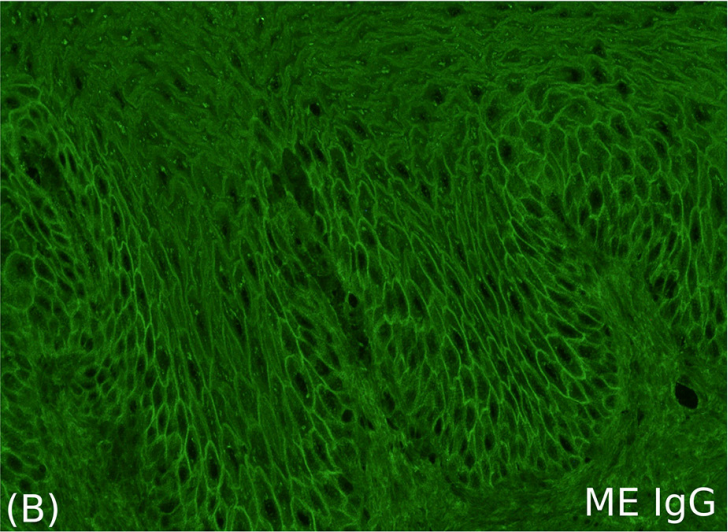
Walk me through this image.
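This is stratified squamous epithelium of esophagus with green fluorescence along the surfaces of the epithelial cells. Each cell is traced by a thin bright outline while its interior remains dark, producing a chicken-wire pattern. The cells are elongated and arranged in sweeping, oriented bands across the field.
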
